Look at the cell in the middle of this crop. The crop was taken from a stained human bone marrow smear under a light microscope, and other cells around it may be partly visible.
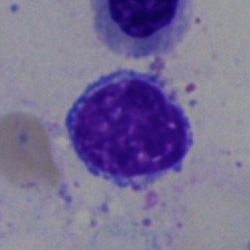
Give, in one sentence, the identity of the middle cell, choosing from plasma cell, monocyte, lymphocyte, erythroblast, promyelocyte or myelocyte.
The cell of interest, located centrally, is a lymphocyte.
